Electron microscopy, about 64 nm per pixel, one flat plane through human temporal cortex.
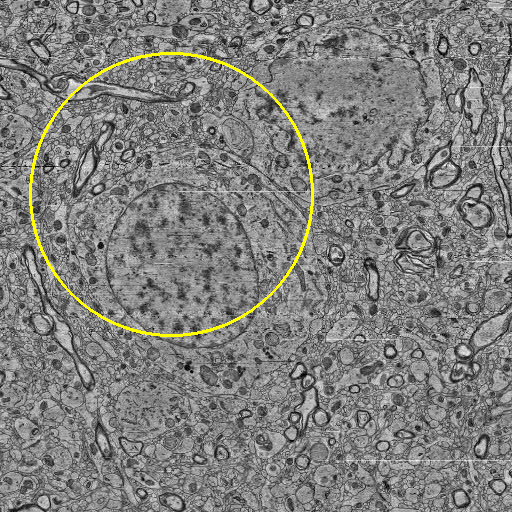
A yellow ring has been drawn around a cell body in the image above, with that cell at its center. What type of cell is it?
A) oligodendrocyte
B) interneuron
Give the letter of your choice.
B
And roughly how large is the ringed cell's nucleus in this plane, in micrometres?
In this plane the nucleus measures roughly 11 by 9 micrometers.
